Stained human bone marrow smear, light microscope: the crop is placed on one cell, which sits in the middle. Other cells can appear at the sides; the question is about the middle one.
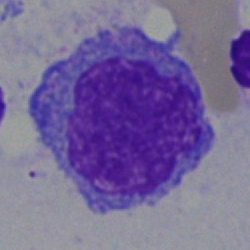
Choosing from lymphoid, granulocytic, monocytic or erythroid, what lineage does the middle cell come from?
monocytic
